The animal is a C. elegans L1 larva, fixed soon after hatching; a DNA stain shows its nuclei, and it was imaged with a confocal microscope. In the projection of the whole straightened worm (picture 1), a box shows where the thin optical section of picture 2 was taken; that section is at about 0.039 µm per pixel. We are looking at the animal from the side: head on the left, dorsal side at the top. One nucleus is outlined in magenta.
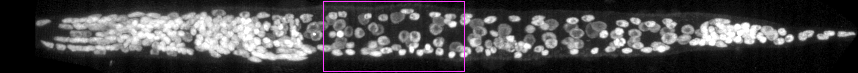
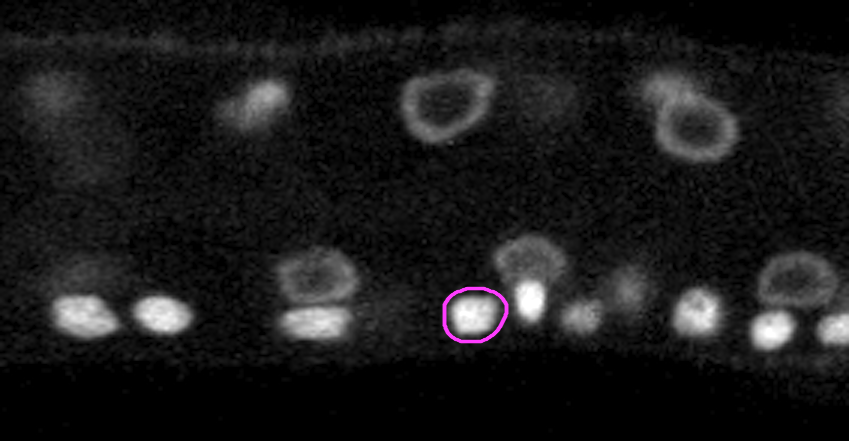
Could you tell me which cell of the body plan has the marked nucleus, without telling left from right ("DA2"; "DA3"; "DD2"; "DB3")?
DA3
